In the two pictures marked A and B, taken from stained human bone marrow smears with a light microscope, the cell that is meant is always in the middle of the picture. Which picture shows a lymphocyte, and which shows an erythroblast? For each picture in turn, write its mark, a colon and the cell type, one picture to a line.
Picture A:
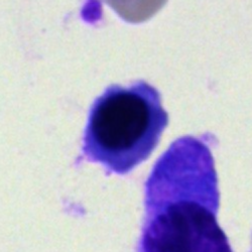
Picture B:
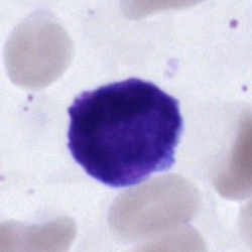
A: erythroblast
B: lymphocyte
